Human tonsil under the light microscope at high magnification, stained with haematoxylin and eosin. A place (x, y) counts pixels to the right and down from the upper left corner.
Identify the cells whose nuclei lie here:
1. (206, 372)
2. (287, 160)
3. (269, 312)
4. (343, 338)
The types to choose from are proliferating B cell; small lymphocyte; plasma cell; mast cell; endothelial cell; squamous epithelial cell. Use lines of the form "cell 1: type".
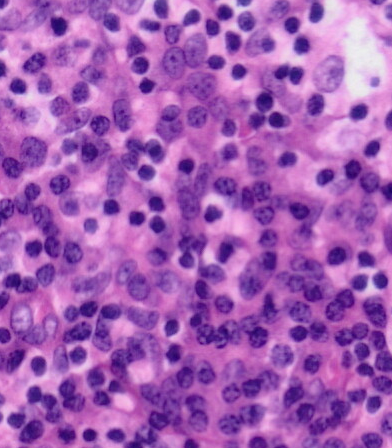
cell 1: plasma cell
cell 2: squamous epithelial cell
cell 3: plasma cell
cell 4: plasma cell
